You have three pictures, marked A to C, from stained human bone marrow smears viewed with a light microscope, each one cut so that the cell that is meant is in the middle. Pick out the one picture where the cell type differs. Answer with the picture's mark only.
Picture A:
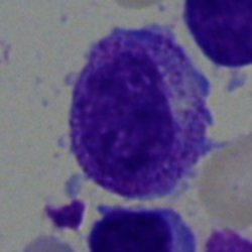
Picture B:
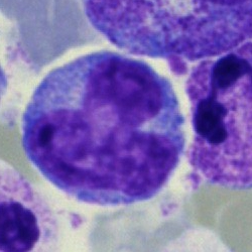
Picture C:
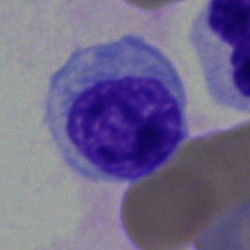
B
